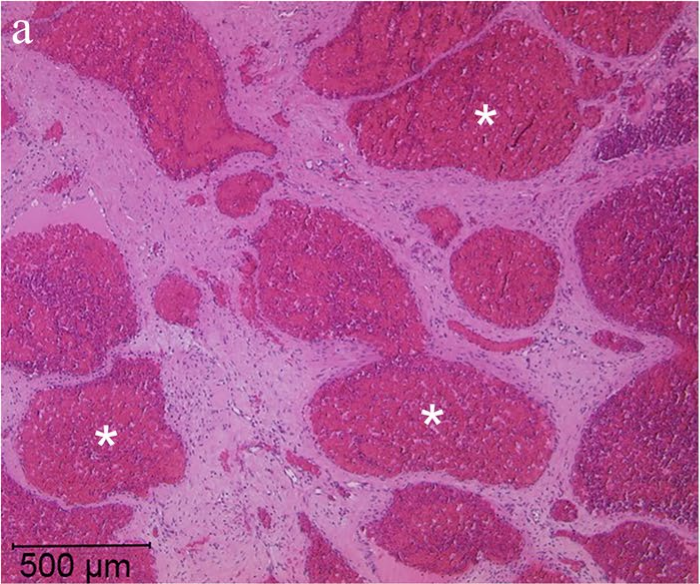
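At low power the field is taken up by many large, cystically dilated blood vessels of irregular, rounded outline. They are stuffed with red blood cells, which make them stand out as solid red islands. Between them runs pale pink fibrous stroma with scattered elongated nuclei and small vessels.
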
